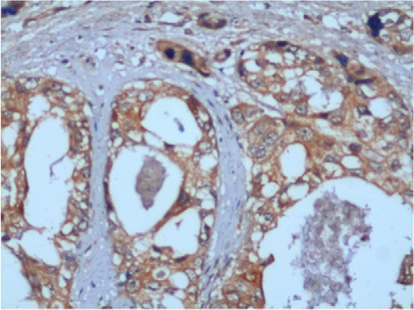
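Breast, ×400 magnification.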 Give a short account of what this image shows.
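This field shows nests of carcinoma cells forming gland-like structures with open lumens, set in pale blue fibrous stroma. The tumour cells have abundant cytoplasm stained brown, often with clear vacuoles, while their round nuclei stay blue and show nucleoli. A few cells have dark, enlarged nuclei. The stroma between the nests is made of fibrous bands with scattered thin spindle nuclei and little brown colour.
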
